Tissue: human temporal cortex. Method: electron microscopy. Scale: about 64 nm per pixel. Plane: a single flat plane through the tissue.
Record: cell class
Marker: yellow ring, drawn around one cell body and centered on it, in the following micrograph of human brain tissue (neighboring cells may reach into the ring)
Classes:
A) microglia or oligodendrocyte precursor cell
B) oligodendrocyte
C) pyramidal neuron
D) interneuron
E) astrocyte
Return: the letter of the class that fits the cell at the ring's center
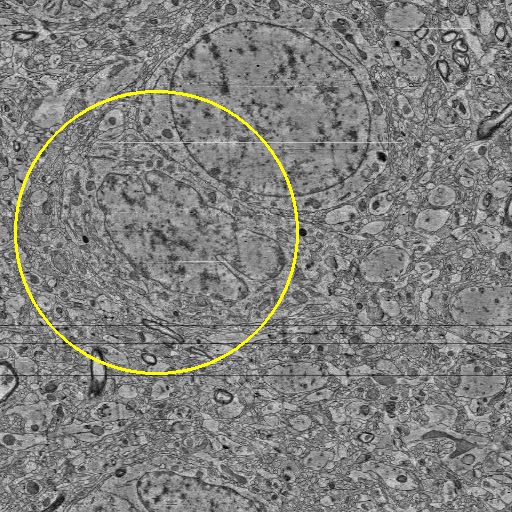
D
